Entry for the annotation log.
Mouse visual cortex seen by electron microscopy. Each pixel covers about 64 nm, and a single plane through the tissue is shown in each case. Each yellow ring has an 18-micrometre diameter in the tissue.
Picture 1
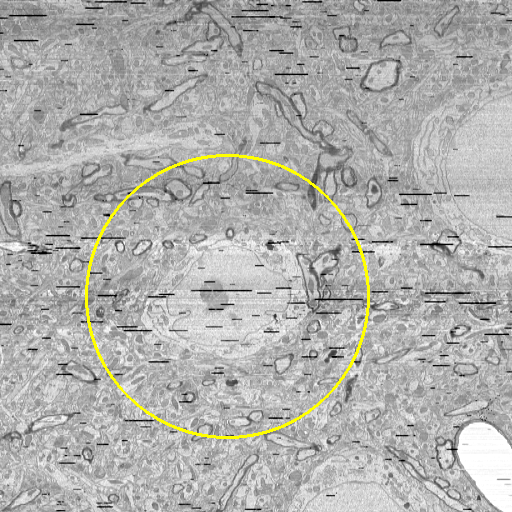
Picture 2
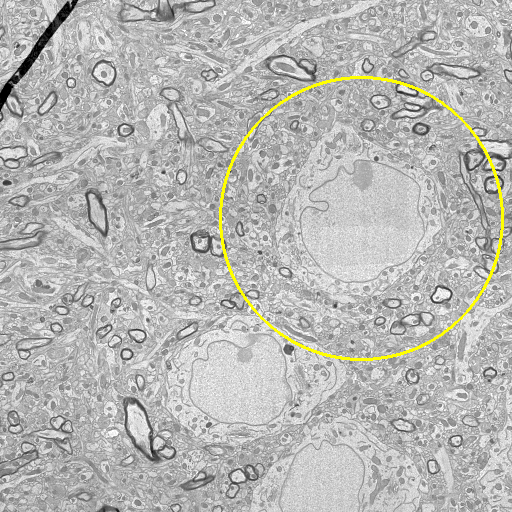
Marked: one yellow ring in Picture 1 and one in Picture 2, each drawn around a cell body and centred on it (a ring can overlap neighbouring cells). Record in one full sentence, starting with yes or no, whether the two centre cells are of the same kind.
Yes, both cells are of the same kind.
